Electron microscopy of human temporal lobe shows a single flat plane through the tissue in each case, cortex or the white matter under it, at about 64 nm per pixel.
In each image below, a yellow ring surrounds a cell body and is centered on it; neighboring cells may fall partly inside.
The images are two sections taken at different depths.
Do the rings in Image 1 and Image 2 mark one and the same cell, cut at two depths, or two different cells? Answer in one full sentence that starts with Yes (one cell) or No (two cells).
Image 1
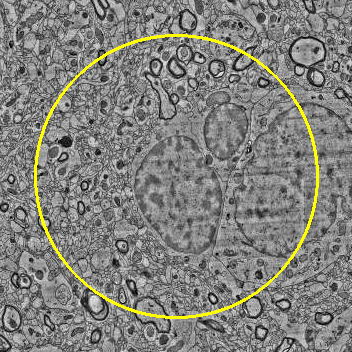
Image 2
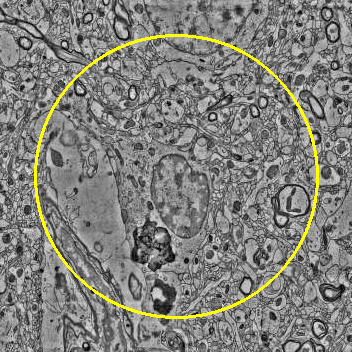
No, each ring in the micrograph marks a distinct cell.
